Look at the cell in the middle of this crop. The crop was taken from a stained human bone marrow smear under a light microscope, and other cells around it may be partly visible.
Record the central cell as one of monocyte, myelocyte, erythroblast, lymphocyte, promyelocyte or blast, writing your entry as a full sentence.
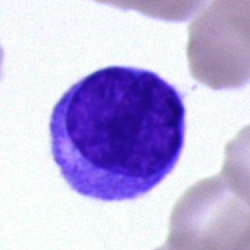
The central element of this crop is a cell, namely a blast.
